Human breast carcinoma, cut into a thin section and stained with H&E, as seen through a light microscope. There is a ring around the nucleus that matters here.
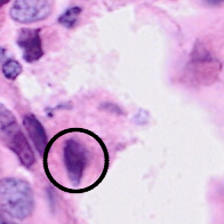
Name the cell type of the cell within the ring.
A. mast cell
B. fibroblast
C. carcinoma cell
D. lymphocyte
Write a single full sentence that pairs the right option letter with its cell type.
Among the choices, option C is correct, the cell within the ring being a carcinoma cell.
